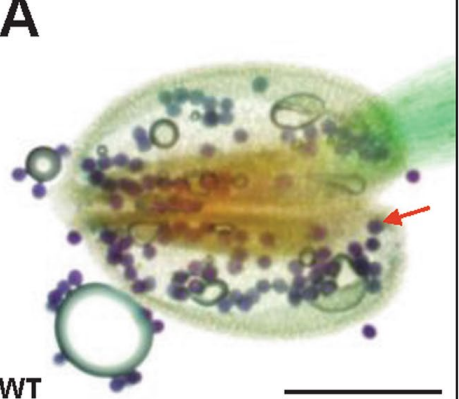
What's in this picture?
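An anther is seen whole, with a green filament attached at one side and a pale greenish wall around darker, brownish central tissue. Numerous small round pollen grains, stained dark purple, are scattered over the anther and lie free around its edge.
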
